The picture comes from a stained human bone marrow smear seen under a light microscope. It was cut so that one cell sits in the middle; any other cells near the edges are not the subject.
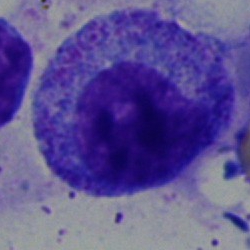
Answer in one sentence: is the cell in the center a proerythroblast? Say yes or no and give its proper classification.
No, the correct answer for the middle cell is a promyelocyte, not a proerythroblast.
